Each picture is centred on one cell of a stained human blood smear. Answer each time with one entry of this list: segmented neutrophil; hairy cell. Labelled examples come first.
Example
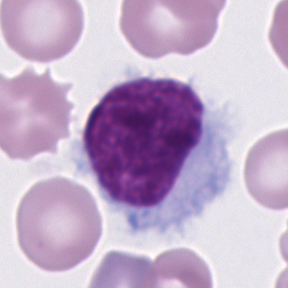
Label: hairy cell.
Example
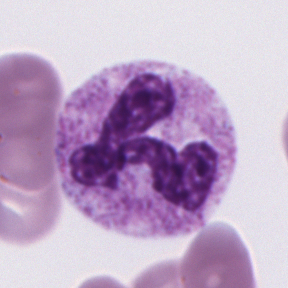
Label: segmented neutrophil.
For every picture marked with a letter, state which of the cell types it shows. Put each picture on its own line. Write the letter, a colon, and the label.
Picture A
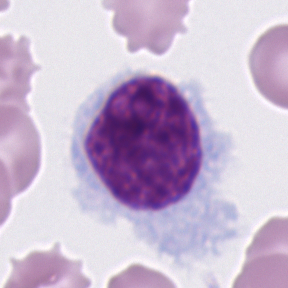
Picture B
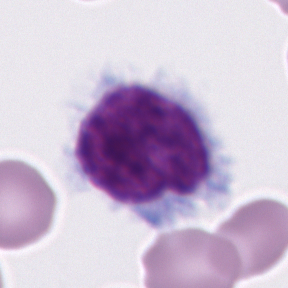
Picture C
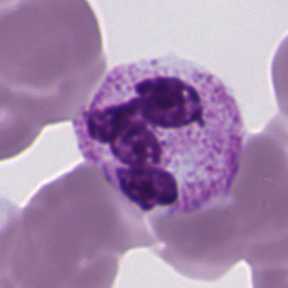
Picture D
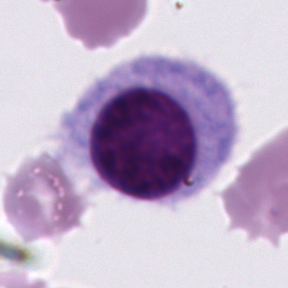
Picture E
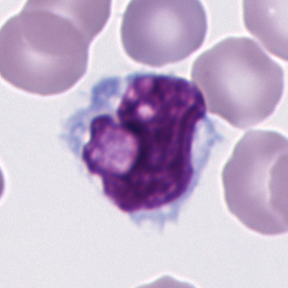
A: hairy cell.
B: hairy cell.
C: segmented neutrophil.
D: hairy cell.
E: hairy cell.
